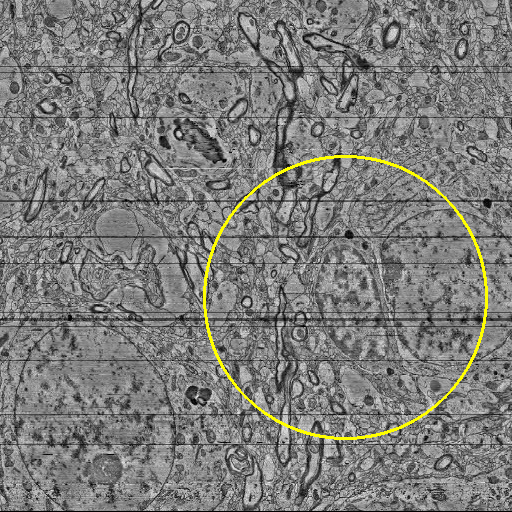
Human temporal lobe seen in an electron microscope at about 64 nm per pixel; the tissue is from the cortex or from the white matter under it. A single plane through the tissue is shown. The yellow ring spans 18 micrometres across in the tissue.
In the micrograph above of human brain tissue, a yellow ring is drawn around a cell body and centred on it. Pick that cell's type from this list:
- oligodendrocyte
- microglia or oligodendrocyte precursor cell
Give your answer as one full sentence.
Going by the list, an oligodendrocyte is the cell on which the yellow ring is centred.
